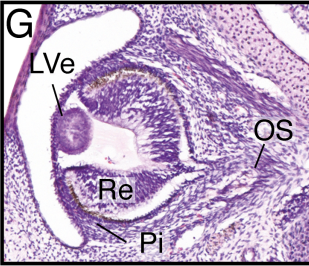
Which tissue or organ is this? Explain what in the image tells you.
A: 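A round lens body sits within a cup of densely nucleated tissue. A thin dark-pigmented rim outlines the cup. A nerve-like fibre bundle leaves the cup toward the right.
Hence: eye.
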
